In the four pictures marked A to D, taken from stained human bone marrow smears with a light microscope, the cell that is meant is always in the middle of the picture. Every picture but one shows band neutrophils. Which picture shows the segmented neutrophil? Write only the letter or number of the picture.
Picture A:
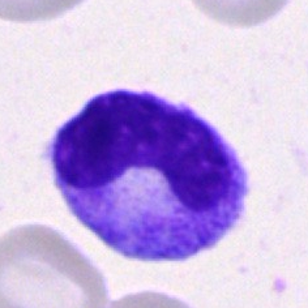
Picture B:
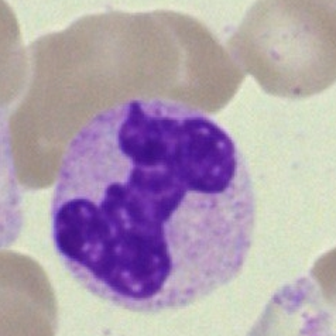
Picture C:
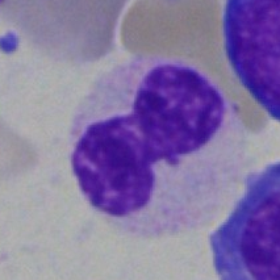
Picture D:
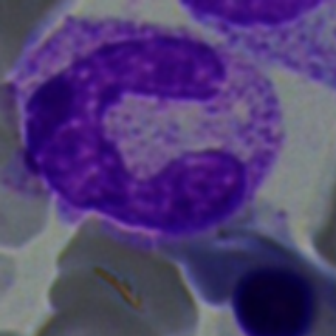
B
